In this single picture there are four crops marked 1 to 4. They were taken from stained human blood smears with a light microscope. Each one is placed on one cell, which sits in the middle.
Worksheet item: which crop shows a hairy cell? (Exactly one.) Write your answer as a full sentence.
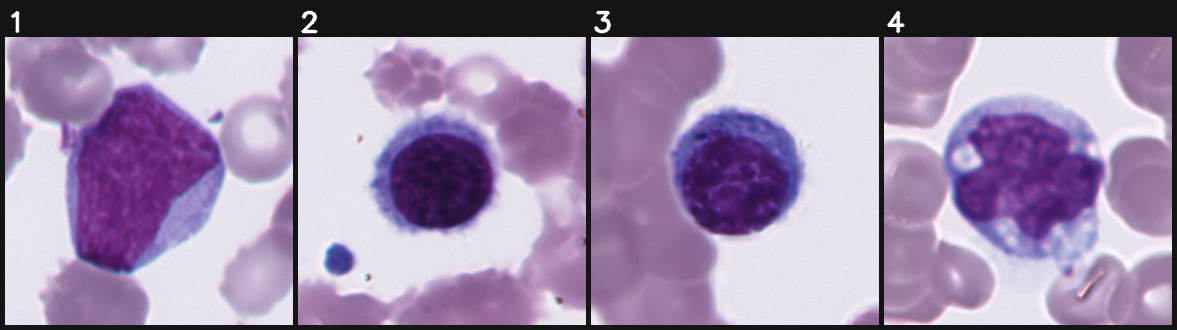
The one that shows a hairy cell is crop 2.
